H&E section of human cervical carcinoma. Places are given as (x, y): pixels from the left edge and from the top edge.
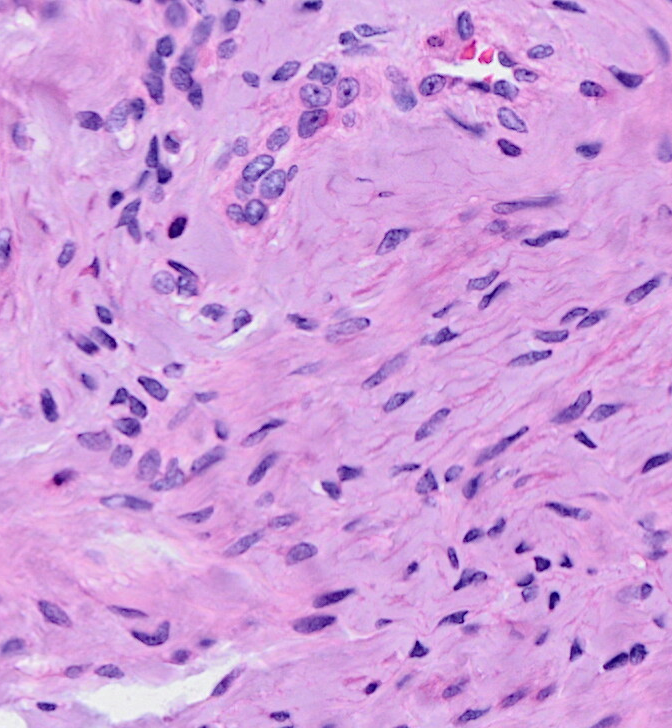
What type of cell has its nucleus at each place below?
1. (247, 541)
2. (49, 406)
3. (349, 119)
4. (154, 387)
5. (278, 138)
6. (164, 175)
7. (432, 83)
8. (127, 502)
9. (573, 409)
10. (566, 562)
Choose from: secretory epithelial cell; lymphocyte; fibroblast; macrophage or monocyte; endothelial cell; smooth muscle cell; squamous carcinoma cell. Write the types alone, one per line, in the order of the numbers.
smooth muscle cell
fibroblast
endothelial cell
fibroblast
endothelial cell
fibroblast
endothelial cell
fibroblast
fibroblast
fibroblast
